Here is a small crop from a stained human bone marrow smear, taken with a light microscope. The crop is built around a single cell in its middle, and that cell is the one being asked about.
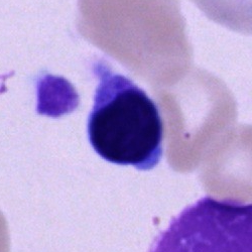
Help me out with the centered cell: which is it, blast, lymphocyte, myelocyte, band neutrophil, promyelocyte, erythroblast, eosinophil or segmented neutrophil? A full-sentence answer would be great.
This crop's central cell is a lymphocyte.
